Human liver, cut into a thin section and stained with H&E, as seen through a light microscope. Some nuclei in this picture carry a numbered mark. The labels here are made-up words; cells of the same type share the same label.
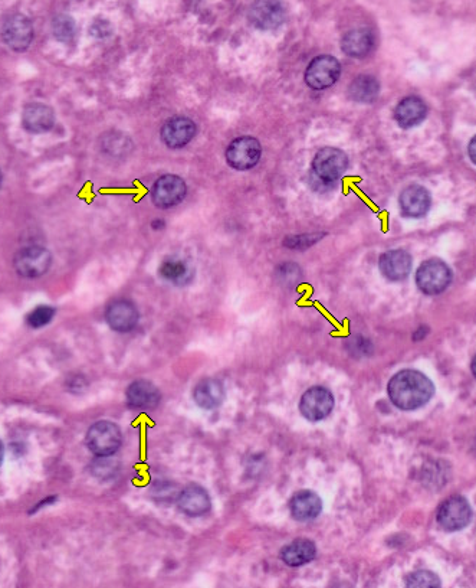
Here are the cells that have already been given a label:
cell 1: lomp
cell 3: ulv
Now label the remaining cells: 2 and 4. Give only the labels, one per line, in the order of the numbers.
lomp
lomp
